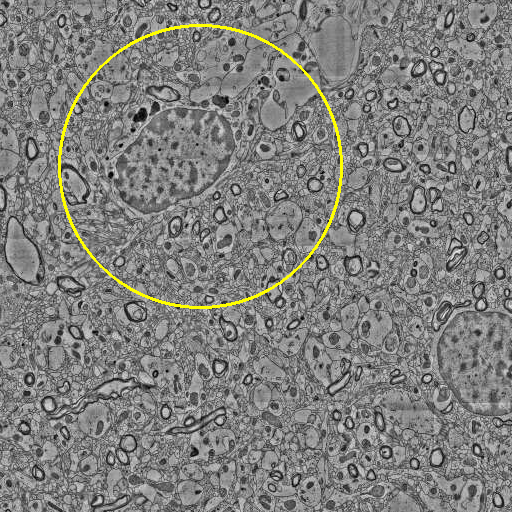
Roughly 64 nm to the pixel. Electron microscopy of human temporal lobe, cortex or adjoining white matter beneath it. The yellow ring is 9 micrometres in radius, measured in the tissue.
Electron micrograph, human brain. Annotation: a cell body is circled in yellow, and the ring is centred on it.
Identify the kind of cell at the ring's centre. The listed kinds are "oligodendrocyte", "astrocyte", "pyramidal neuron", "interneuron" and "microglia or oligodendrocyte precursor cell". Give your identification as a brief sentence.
The circled cell body is that of a microglial cell or oligodendrocyte precursor cell.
